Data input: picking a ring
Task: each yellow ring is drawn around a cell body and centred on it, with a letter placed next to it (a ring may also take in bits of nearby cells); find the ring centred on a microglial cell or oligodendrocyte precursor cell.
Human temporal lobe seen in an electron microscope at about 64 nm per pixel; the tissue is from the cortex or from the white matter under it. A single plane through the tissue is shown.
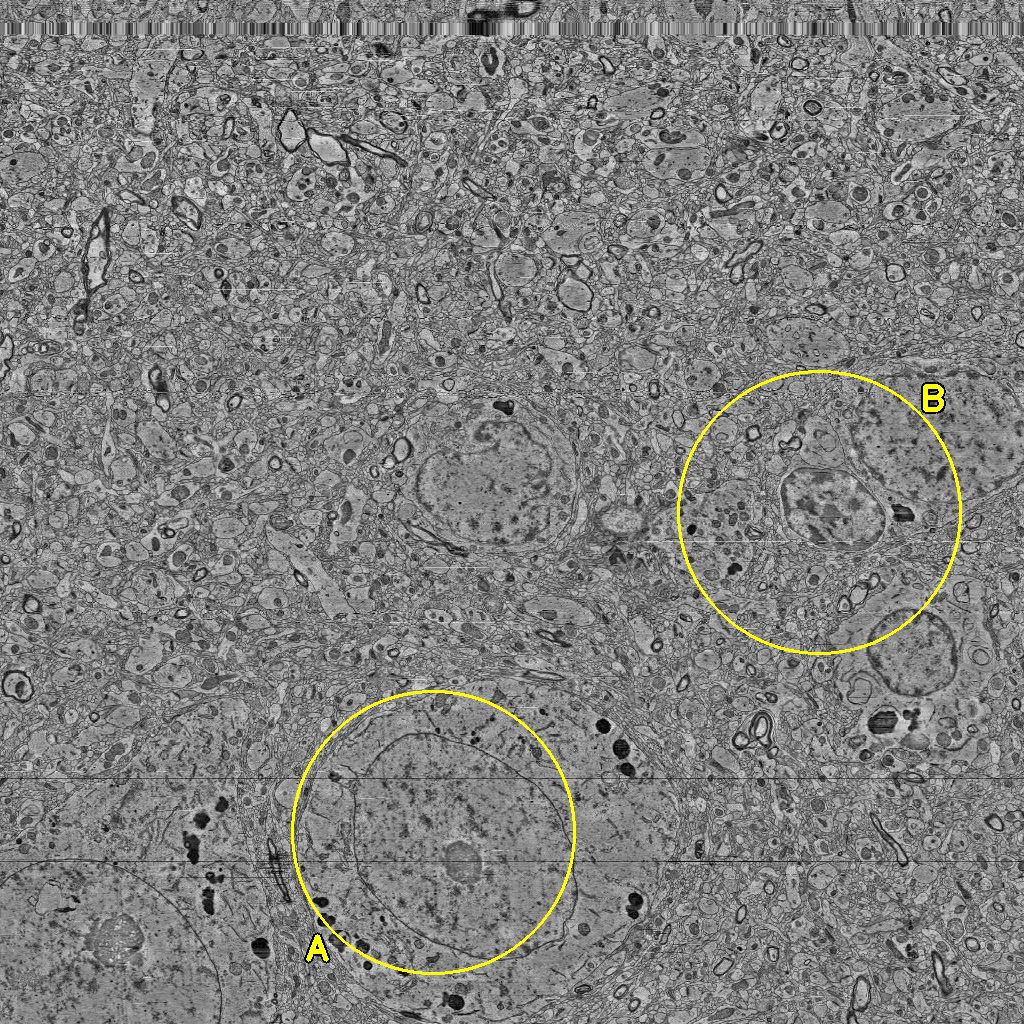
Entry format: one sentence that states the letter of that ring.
In the picture, the cell asked for sits at the centre of ring B.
